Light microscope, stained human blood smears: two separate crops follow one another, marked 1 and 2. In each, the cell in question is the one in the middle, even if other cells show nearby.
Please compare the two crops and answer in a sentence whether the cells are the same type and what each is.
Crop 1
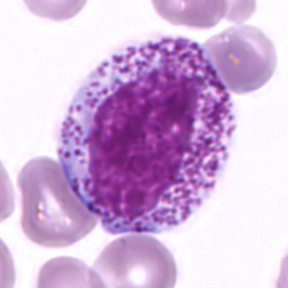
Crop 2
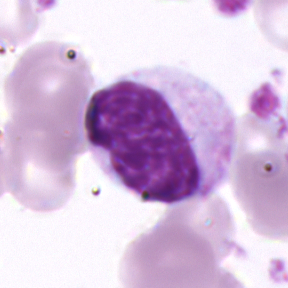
No, crop 1 presents a myelocyte, whereas crop 2 presents a metamyelocyte.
